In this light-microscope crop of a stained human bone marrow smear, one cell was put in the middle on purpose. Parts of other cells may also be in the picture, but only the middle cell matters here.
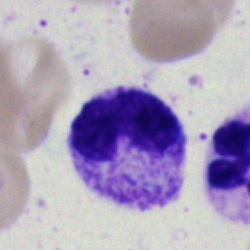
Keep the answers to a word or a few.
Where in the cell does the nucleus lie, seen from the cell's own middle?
top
